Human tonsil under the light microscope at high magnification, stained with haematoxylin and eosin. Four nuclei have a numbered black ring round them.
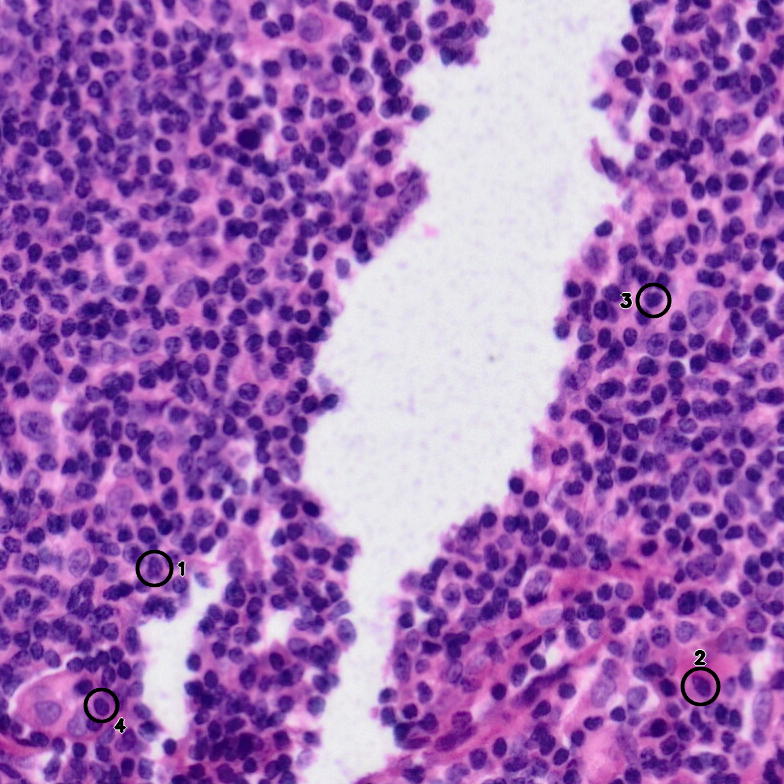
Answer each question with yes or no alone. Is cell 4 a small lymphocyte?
no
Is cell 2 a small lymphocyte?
no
